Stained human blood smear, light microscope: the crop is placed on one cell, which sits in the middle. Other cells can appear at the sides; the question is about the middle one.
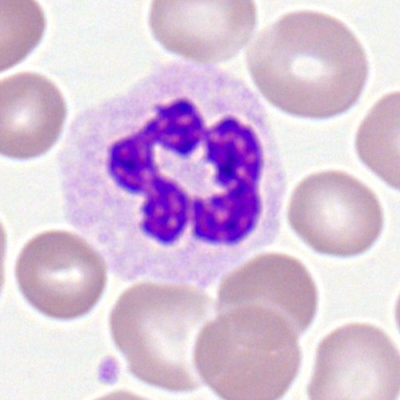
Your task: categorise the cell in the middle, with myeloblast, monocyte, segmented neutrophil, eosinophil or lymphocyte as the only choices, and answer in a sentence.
For this crop, the cell in the middle is a segmented neutrophil.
